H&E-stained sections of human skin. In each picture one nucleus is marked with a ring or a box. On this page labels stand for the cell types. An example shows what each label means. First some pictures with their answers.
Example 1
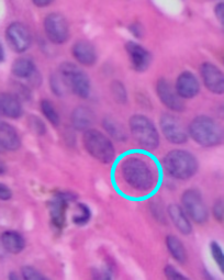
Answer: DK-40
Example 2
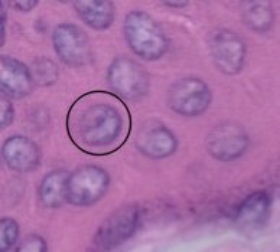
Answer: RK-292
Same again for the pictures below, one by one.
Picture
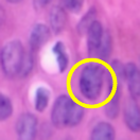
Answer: DK-40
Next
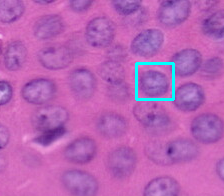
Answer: RK-292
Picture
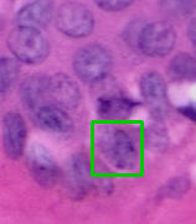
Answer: DK-40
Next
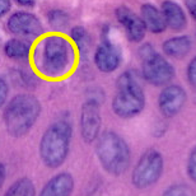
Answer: DK-40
